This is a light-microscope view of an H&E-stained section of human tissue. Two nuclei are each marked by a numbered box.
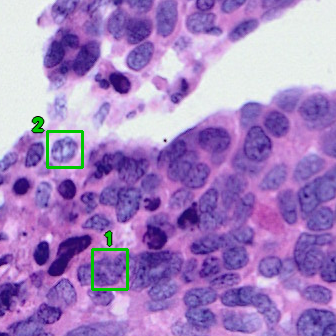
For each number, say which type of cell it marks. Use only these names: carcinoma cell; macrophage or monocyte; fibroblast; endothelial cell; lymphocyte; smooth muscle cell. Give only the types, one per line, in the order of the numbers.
carcinoma cell
macrophage or monocyte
